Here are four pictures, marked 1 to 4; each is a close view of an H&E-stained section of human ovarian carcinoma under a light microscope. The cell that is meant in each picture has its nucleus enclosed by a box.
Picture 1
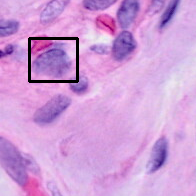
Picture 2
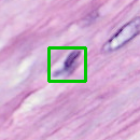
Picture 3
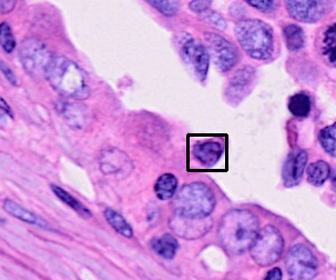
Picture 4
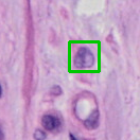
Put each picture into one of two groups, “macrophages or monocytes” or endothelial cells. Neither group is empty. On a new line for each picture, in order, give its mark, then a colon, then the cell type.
1: endothelial cell
2: macrophage or monocyte
3: macrophage or monocyte
4: macrophage or monocyte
